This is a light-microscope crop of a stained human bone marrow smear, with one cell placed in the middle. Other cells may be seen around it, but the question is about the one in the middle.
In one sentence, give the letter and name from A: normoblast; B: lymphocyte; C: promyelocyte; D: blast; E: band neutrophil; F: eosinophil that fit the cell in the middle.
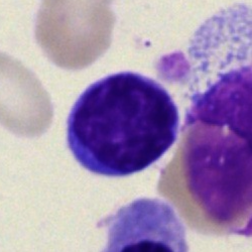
The right choice is option B: the cell in the middle is a lymphocyte.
